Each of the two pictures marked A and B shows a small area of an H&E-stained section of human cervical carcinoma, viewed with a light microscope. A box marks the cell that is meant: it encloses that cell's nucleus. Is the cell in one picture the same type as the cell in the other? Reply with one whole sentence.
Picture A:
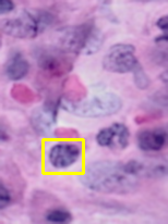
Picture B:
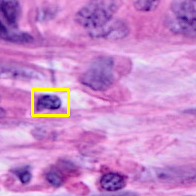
Yes, they are the same type: both are lymphocytes.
